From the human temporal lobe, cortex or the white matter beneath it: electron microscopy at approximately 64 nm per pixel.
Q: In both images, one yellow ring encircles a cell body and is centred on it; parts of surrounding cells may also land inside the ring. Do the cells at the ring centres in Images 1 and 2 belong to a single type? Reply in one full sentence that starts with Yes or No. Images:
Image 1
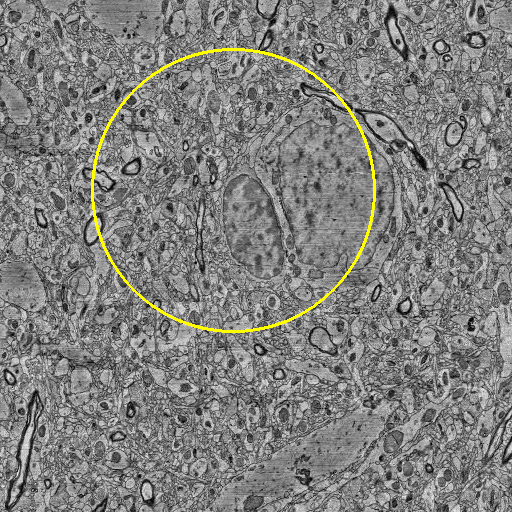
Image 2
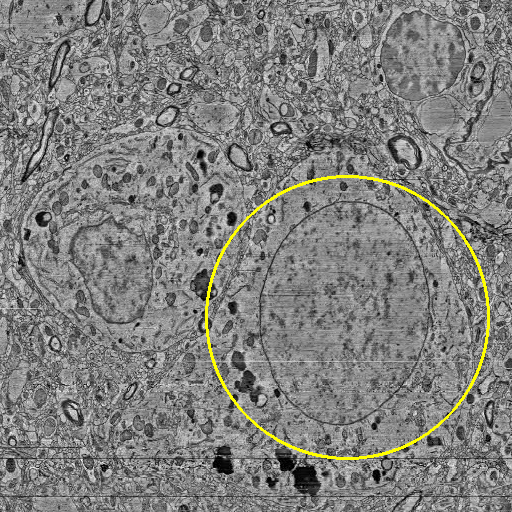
No, the cells at the ring centres in Images 1 and 2 are of two types.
